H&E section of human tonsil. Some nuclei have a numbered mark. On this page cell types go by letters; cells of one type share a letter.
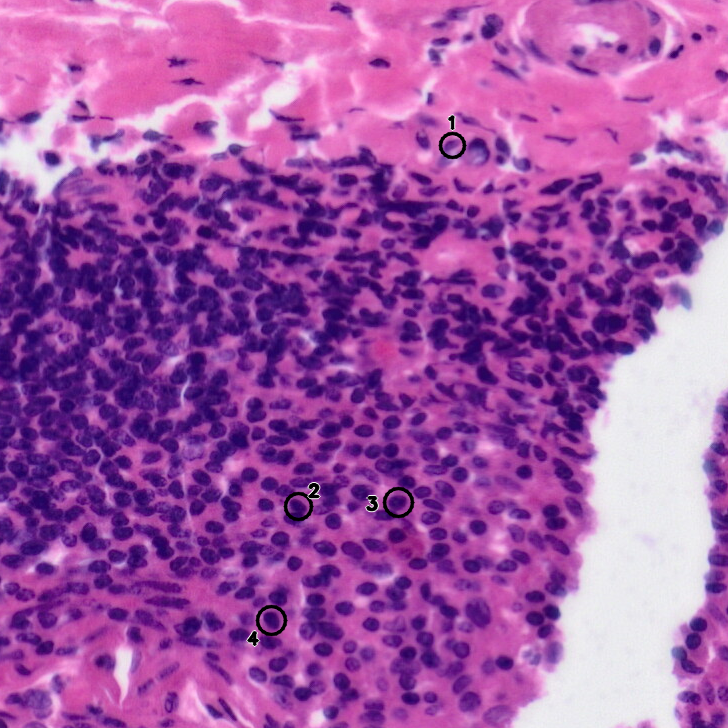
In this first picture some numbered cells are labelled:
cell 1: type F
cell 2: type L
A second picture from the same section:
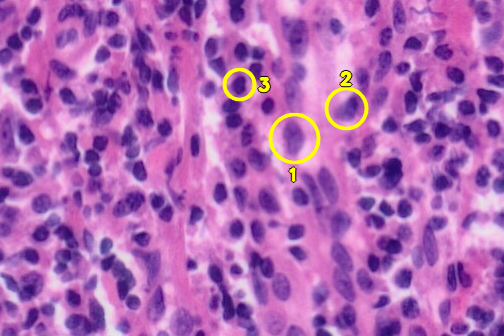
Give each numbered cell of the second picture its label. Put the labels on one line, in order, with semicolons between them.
type F; type F; type L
